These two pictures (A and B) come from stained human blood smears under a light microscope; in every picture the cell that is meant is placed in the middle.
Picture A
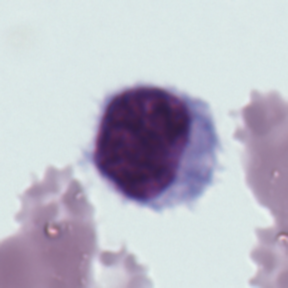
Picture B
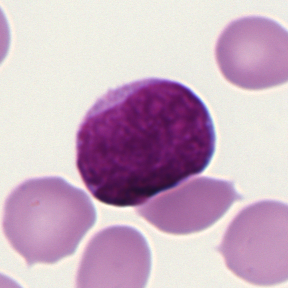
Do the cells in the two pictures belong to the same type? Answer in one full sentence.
No, the types are not the same, since picture A shows a hairy cell and picture B a myeloblast.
